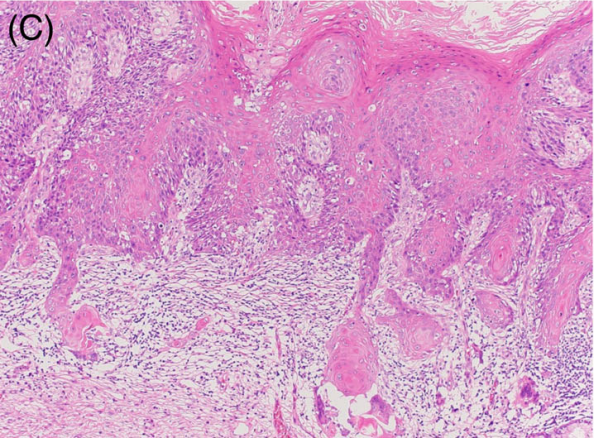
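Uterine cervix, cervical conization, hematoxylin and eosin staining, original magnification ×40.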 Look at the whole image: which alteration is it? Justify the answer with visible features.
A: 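Irregular nests and tongues of squamous epithelium extend down into the underlying stroma. Concentric pink keratin pearls sit within the epithelial nests. The surface is covered by layered pink keratin.
Invasive squamous cell carcinoma.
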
